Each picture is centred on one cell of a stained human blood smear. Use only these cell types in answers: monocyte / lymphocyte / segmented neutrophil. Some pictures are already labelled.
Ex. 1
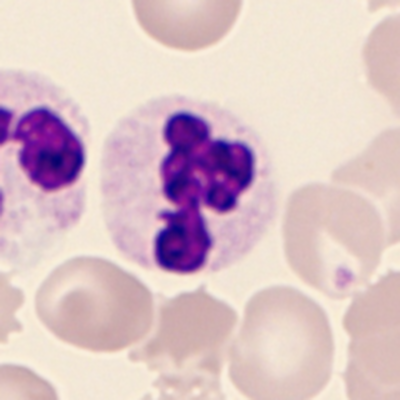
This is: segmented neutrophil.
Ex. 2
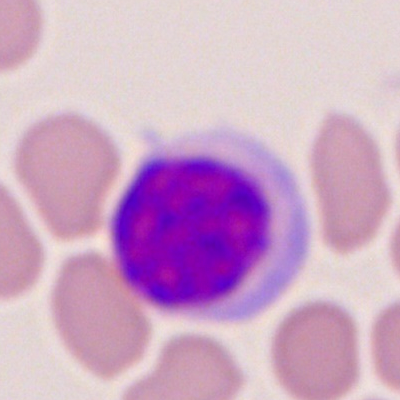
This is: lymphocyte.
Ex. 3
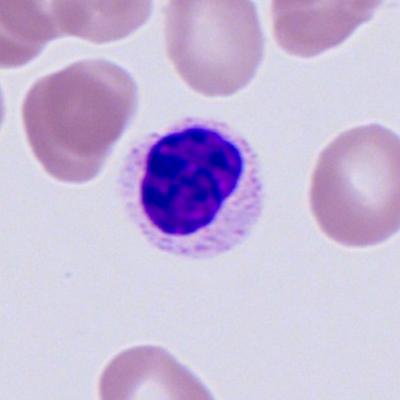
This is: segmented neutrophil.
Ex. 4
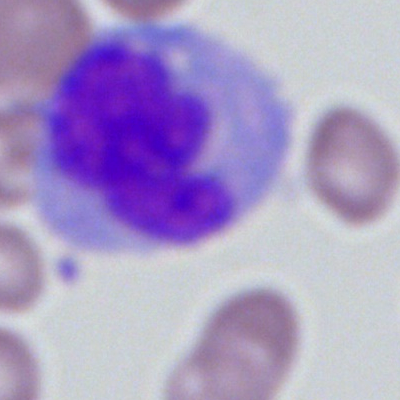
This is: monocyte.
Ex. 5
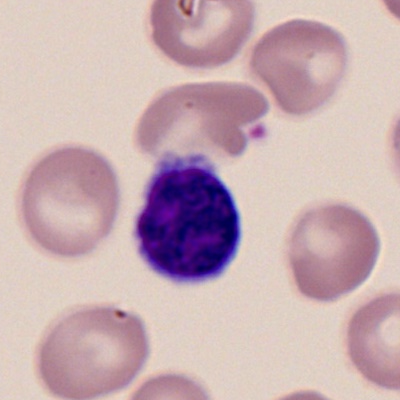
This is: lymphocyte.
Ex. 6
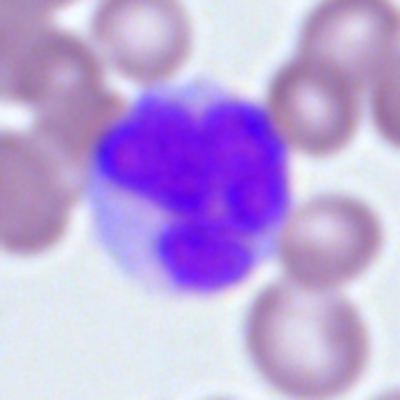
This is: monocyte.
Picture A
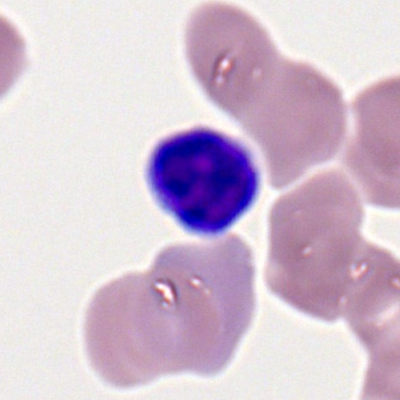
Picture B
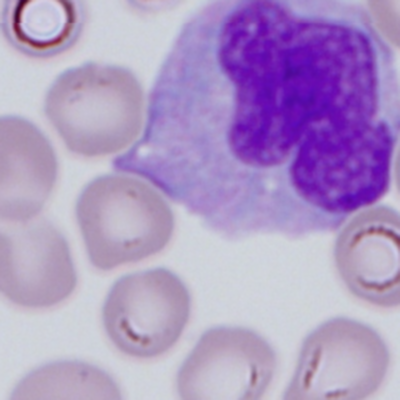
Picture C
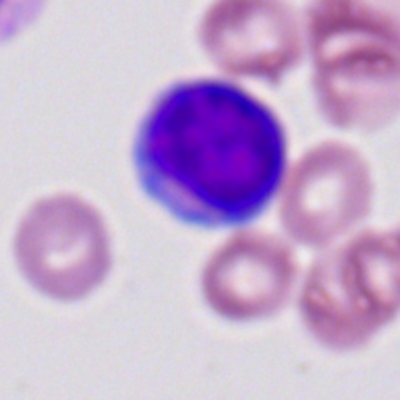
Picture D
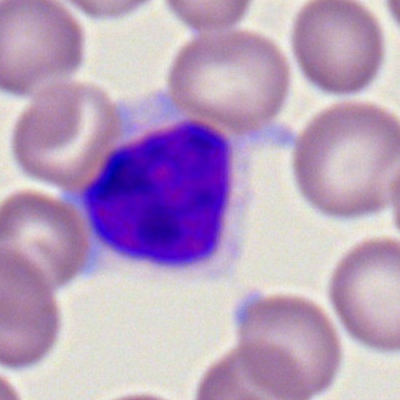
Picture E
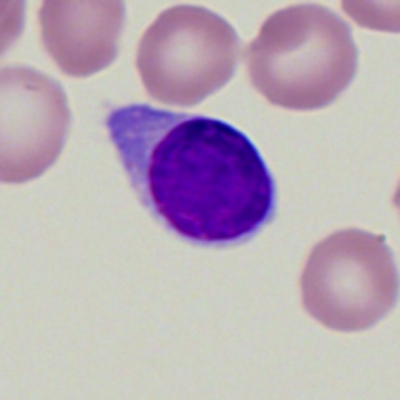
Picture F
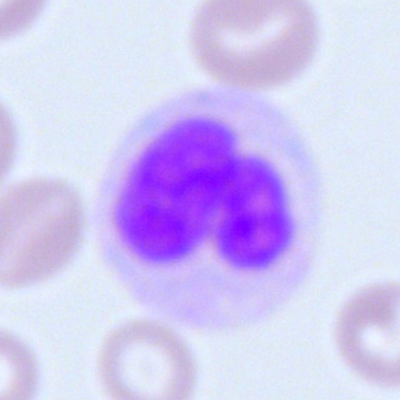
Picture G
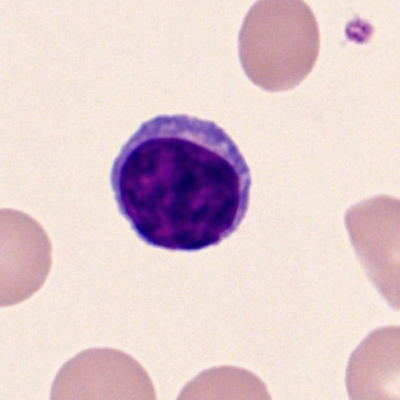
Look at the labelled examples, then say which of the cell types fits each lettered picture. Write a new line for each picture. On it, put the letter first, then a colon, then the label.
A: lymphocyte.
B: monocyte.
C: lymphocyte.
D: lymphocyte.
E: lymphocyte.
F: monocyte.
G: lymphocyte.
